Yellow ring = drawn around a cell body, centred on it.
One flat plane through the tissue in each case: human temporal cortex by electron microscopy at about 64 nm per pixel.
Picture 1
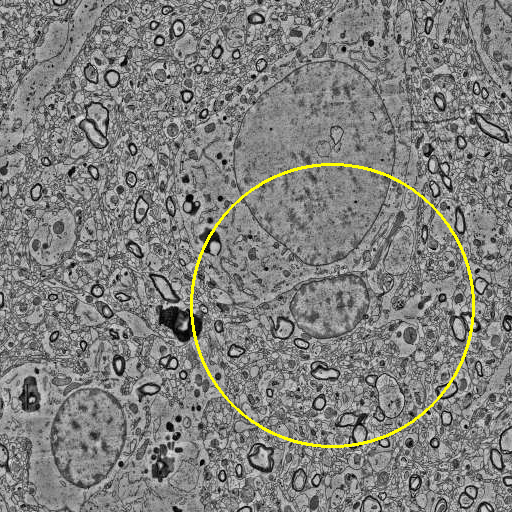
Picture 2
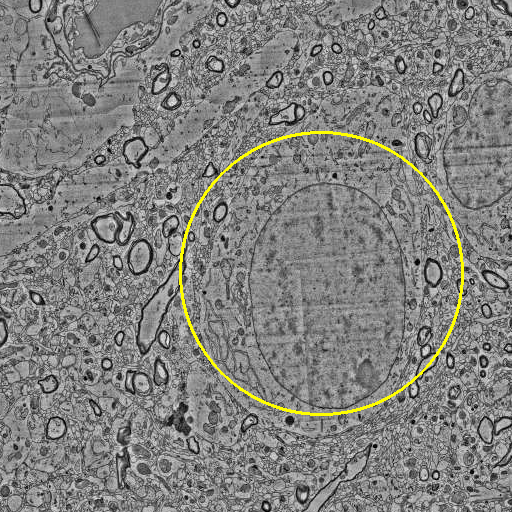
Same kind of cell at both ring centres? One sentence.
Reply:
No, they are two kinds of cell.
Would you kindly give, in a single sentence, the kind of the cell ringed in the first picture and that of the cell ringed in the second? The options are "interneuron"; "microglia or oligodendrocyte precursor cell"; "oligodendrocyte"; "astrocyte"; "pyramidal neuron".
The second cell is a pyramidal neuron, and the first cell is an oligodendrocyte.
